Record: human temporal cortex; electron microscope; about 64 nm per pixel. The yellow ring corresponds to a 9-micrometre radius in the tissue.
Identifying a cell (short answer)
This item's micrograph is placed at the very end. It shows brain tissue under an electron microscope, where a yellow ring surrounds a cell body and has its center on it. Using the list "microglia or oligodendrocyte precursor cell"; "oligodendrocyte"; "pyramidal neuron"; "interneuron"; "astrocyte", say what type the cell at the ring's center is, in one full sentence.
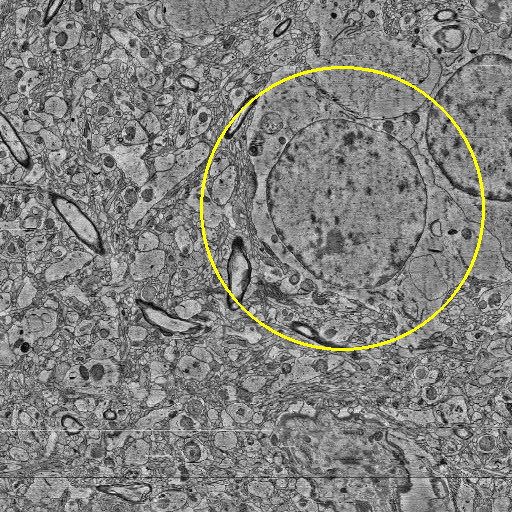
This picture shows an astrocyte at the center of the yellow ring drawn on it.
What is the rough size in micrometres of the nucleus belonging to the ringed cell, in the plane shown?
In this plane the nucleus is about 11 micrometres across.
